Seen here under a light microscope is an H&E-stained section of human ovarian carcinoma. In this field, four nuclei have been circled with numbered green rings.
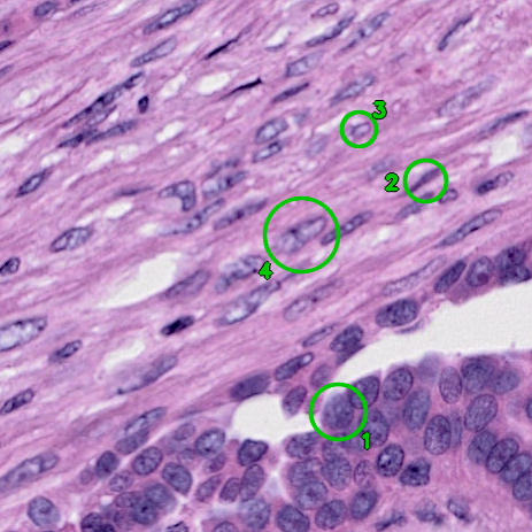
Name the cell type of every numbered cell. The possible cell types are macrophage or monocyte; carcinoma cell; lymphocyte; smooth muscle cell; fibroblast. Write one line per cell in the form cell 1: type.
cell 1: carcinoma cell
cell 2: fibroblast
cell 3: fibroblast
cell 4: fibroblast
